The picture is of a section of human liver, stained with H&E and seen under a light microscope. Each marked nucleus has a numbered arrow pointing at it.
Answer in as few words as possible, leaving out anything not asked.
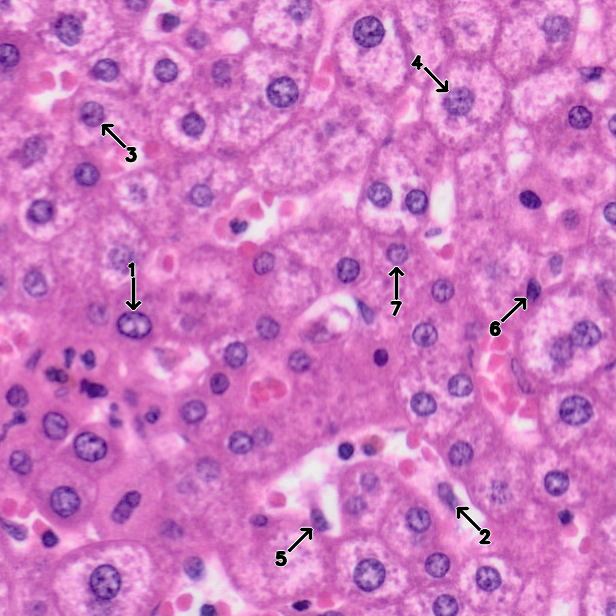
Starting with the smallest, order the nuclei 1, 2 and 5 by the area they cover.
5, 2, 1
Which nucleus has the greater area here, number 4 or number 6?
4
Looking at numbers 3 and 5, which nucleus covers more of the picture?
3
